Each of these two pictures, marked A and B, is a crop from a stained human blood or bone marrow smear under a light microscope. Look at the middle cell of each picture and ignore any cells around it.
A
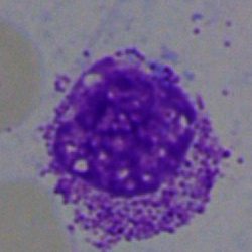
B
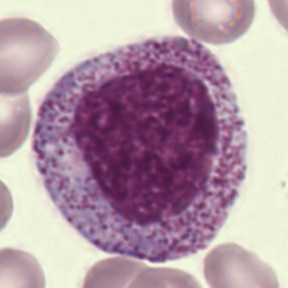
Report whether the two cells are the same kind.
yes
